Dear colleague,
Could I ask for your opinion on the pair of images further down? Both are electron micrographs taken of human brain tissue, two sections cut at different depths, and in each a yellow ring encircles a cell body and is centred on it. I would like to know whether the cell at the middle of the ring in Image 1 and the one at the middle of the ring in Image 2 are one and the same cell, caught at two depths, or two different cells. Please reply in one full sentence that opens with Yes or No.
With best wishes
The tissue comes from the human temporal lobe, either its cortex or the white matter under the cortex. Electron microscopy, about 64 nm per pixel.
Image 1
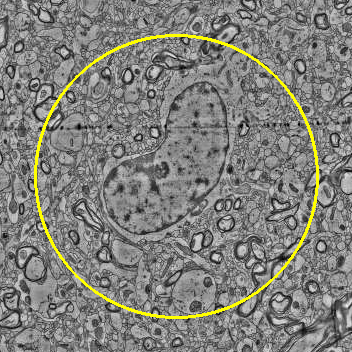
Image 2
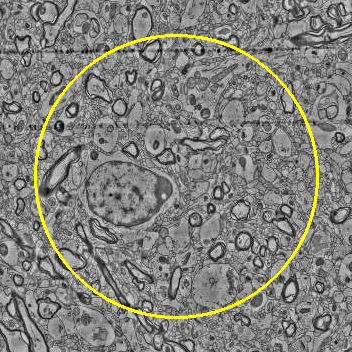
Yes, one cell accounts for both of the yellow rings.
